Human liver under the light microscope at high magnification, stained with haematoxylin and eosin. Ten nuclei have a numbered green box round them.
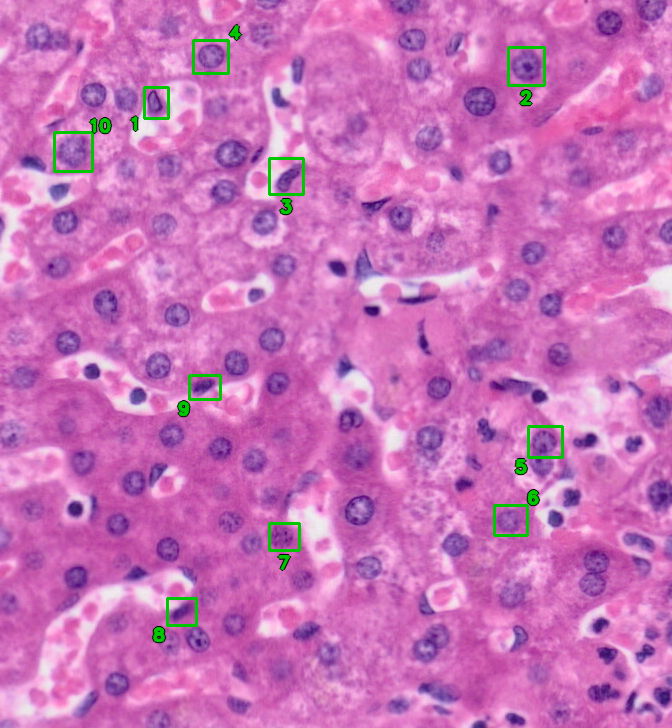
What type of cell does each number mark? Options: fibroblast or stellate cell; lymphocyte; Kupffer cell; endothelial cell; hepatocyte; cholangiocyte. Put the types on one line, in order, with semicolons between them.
Kupffer cell; hepatocyte; Kupffer cell; hepatocyte; hepatocyte; hepatocyte; hepatocyte; fibroblast or stellate cell; fibroblast or stellate cell; hepatocyte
